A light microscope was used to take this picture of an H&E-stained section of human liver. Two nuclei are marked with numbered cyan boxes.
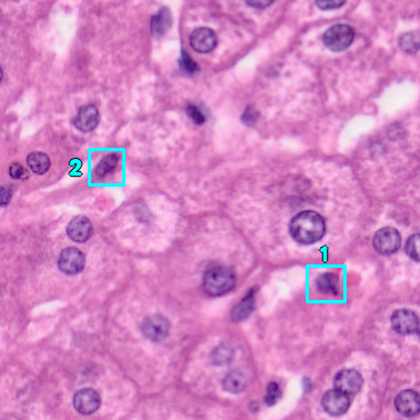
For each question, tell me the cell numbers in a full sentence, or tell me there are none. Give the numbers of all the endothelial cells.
The numbered cell that is an endothelial cell is cell 1, and it is the only one.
